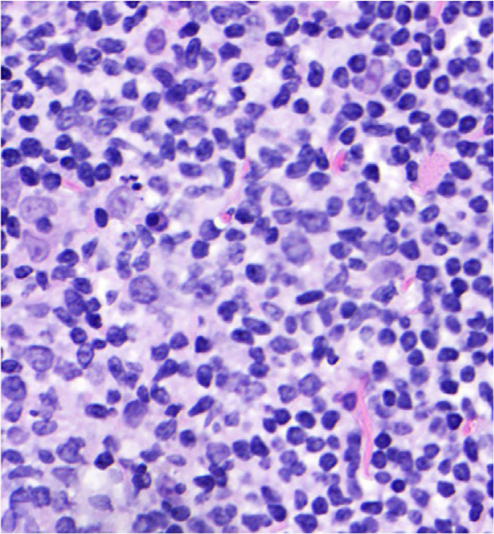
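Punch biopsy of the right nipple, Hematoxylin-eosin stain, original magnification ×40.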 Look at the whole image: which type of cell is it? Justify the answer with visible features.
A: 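Most cells are small with round dark nuclei and scant cytoplasm. The cells are densely packed.
Lymphocytes.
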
